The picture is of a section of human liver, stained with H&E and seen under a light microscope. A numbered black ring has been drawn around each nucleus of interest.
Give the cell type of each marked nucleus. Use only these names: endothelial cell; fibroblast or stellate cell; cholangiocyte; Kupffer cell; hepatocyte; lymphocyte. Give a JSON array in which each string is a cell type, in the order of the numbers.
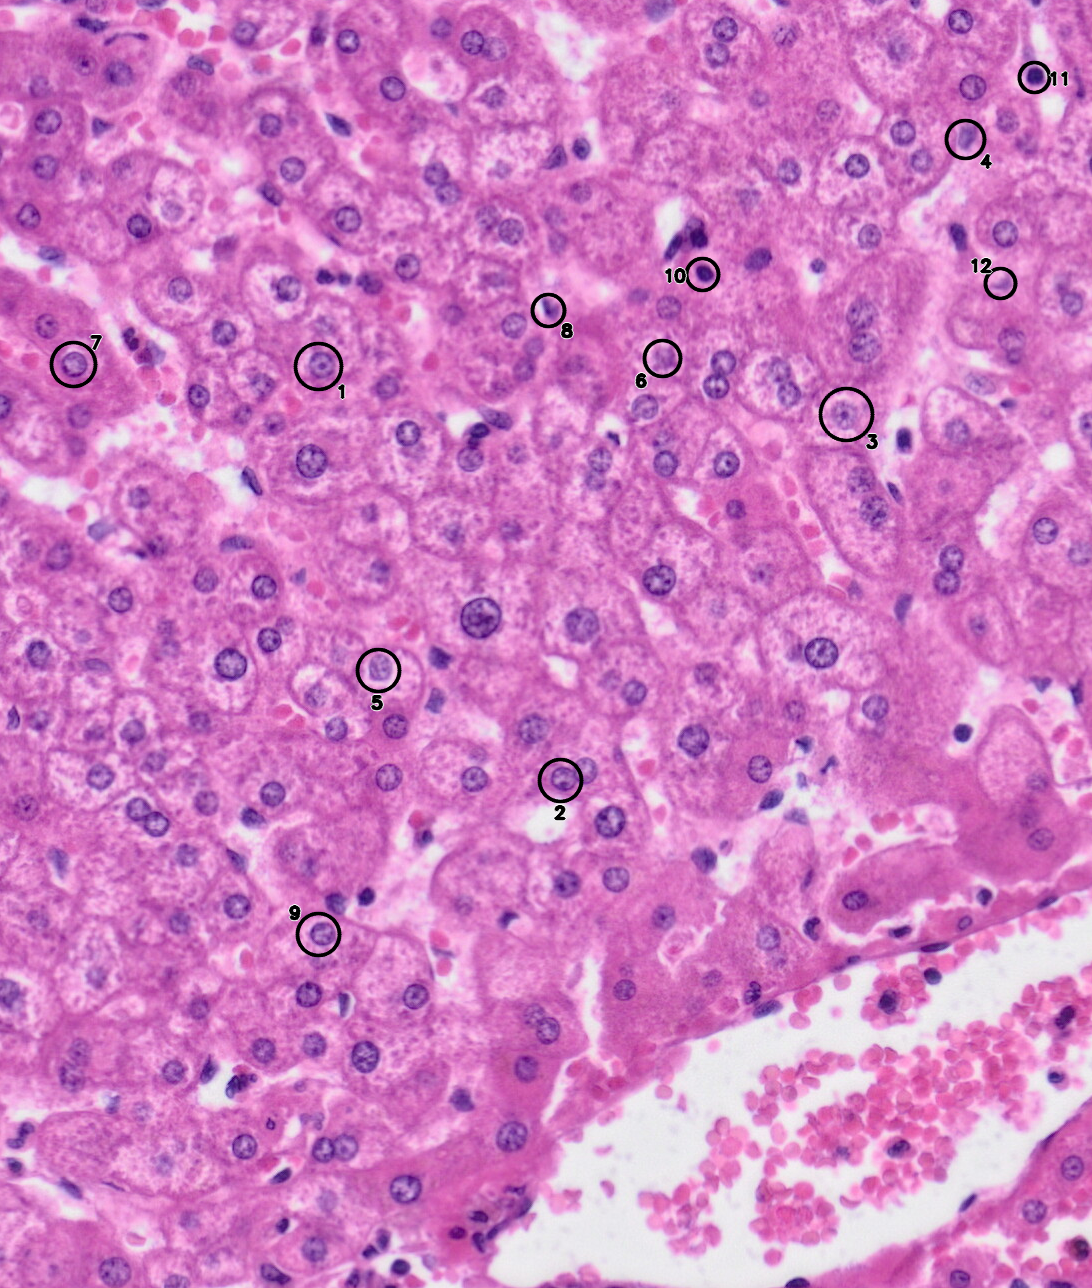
["hepatocyte", "hepatocyte", "hepatocyte", "endothelial cell", "hepatocyte", "hepatocyte", "hepatocyte", "endothelial cell", "hepatocyte", "lymphocyte", "lymphocyte", "endothelial cell"]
